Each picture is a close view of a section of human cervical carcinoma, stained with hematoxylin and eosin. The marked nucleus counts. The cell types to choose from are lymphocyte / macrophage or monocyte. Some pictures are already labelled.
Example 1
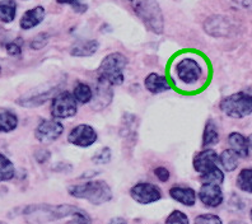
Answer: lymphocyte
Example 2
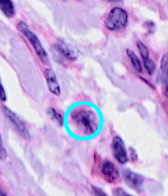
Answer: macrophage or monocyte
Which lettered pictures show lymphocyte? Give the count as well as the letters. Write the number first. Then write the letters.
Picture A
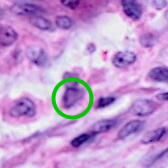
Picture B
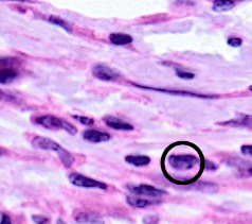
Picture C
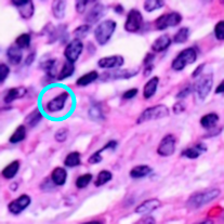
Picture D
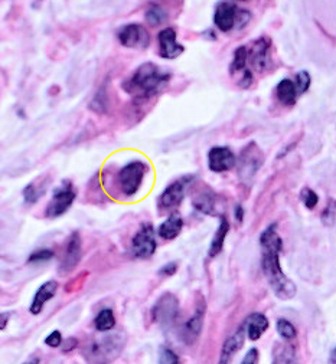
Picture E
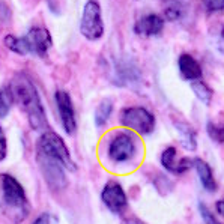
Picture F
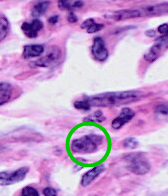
Count: 4 (B, C, D, E)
